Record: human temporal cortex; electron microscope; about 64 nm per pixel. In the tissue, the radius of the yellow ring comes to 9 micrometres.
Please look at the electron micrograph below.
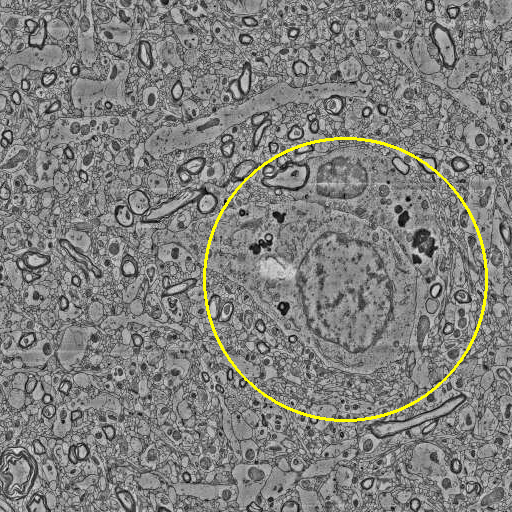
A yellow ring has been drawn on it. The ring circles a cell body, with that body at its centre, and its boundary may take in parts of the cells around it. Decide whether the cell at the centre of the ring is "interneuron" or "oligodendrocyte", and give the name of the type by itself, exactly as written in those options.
interneuron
